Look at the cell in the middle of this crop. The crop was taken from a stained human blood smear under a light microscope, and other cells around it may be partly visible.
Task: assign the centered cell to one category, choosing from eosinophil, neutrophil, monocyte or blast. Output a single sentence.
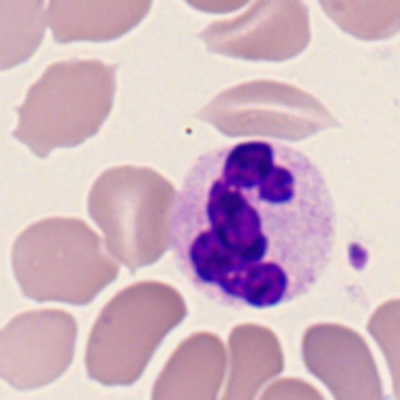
The central cell, amid any neighbouring cells, is a neutrophil.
